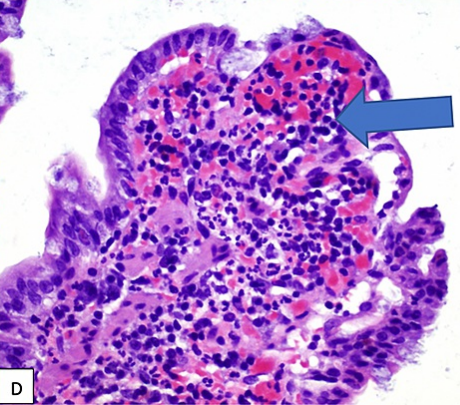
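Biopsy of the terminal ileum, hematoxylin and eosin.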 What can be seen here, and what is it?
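Here is the tip of a single small-bowel villus, covered by a layer of columnar epithelial cells with elongated nuclei. Its core is crowded with inflammatory cells, many of them with small, dark, segmented nuclei, which are neutrophils. Bright red blood cells are packed among them, so the core looks congested. The inflammatory cells come right up under the surface epithelium.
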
